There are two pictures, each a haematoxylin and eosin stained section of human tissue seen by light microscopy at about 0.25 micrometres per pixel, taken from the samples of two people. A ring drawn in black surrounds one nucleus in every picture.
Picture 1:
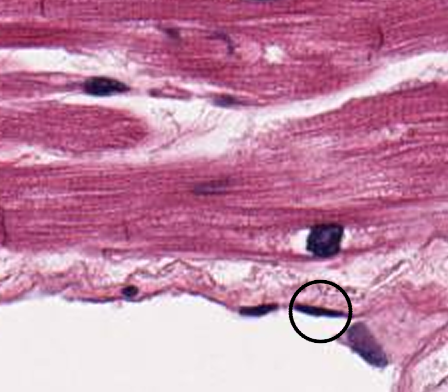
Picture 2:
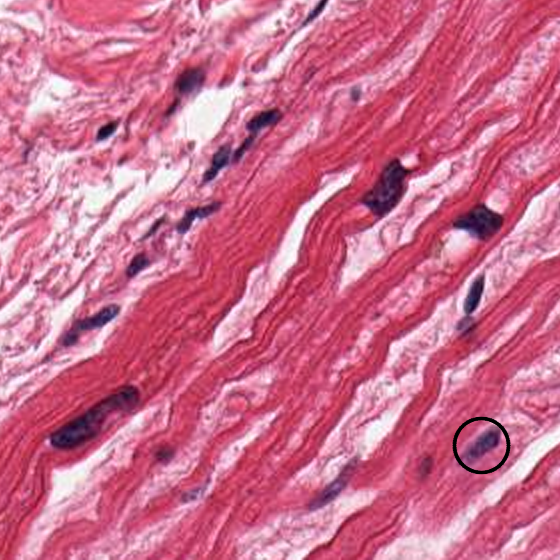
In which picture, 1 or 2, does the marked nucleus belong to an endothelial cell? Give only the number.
1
